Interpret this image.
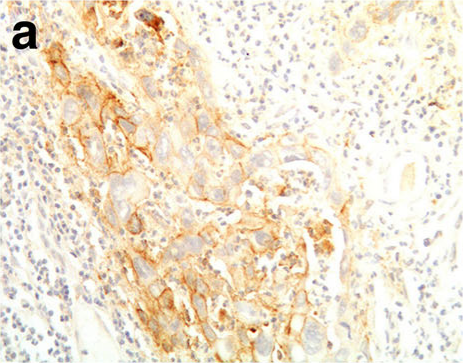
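The cells are polygonal, with large pale nuclei and ample cytoplasm. The surrounding stroma holds many small round cells that stay largely unstained.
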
